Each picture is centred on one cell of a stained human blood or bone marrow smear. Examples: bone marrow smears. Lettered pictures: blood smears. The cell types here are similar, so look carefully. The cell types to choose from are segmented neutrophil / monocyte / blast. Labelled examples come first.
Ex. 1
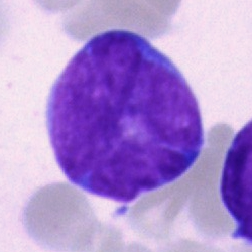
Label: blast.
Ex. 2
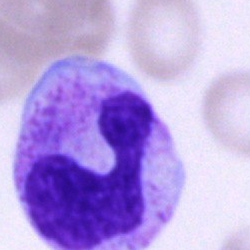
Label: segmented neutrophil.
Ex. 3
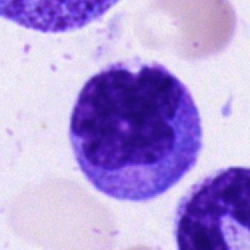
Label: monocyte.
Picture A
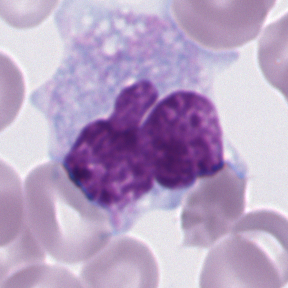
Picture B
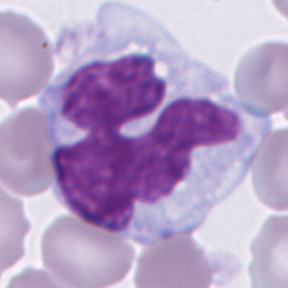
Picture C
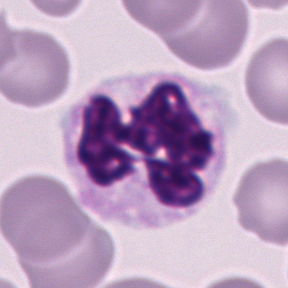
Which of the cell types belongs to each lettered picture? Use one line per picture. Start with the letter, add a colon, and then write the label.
A: monocyte.
B: monocyte.
C: segmented neutrophil.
